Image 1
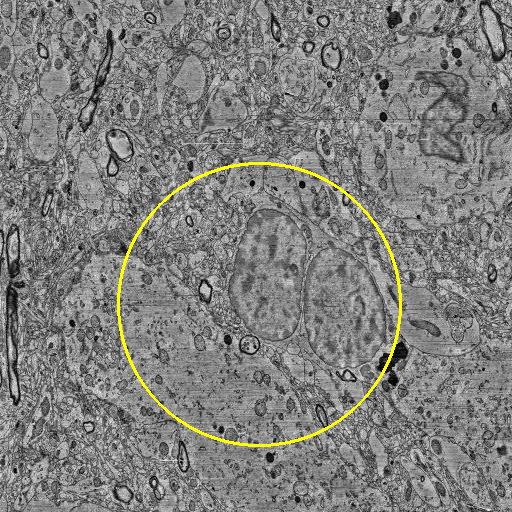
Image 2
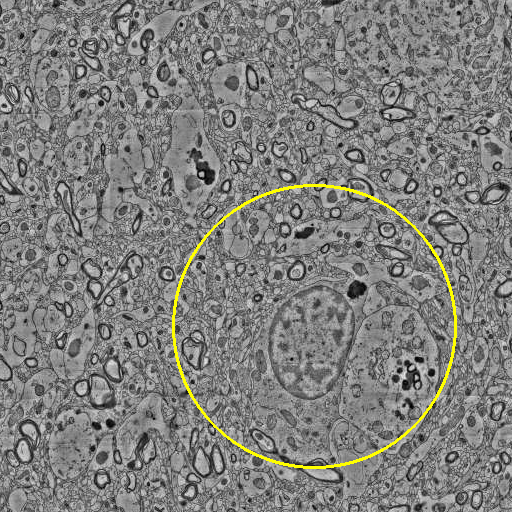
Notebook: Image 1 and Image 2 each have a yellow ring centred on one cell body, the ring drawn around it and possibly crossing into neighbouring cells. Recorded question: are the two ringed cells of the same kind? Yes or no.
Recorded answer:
yes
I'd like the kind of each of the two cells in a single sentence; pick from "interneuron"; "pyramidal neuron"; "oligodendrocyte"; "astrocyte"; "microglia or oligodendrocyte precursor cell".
Both the first and the second picture show an oligodendrocyte in the ring.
